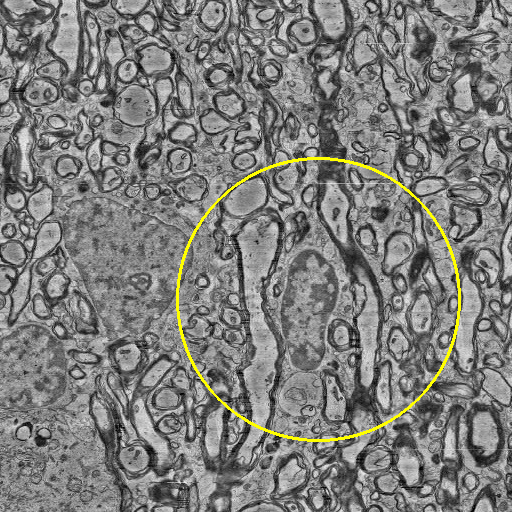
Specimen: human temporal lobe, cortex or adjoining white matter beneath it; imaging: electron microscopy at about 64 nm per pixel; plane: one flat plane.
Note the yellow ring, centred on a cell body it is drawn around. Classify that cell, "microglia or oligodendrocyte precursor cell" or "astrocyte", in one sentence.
The cell the ring is centred on is a microglial cell or oligodendrocyte precursor cell.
